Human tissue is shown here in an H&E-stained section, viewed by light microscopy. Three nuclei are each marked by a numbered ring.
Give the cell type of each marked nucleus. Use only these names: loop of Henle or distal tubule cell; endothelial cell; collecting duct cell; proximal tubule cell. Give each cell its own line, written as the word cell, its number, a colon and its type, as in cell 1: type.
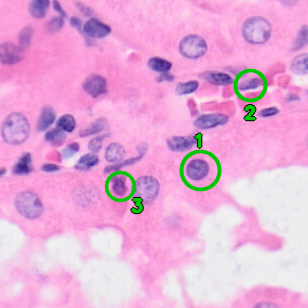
cell 1: proximal tubule cell
cell 2: endothelial cell
cell 3: proximal tubule cell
